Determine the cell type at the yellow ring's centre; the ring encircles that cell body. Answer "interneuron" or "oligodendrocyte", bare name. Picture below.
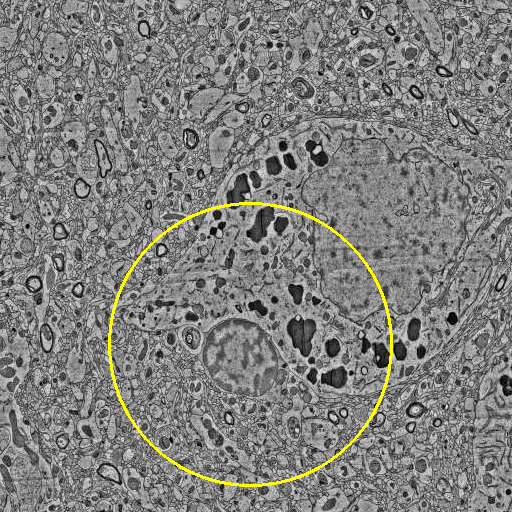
oligodendrocyte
